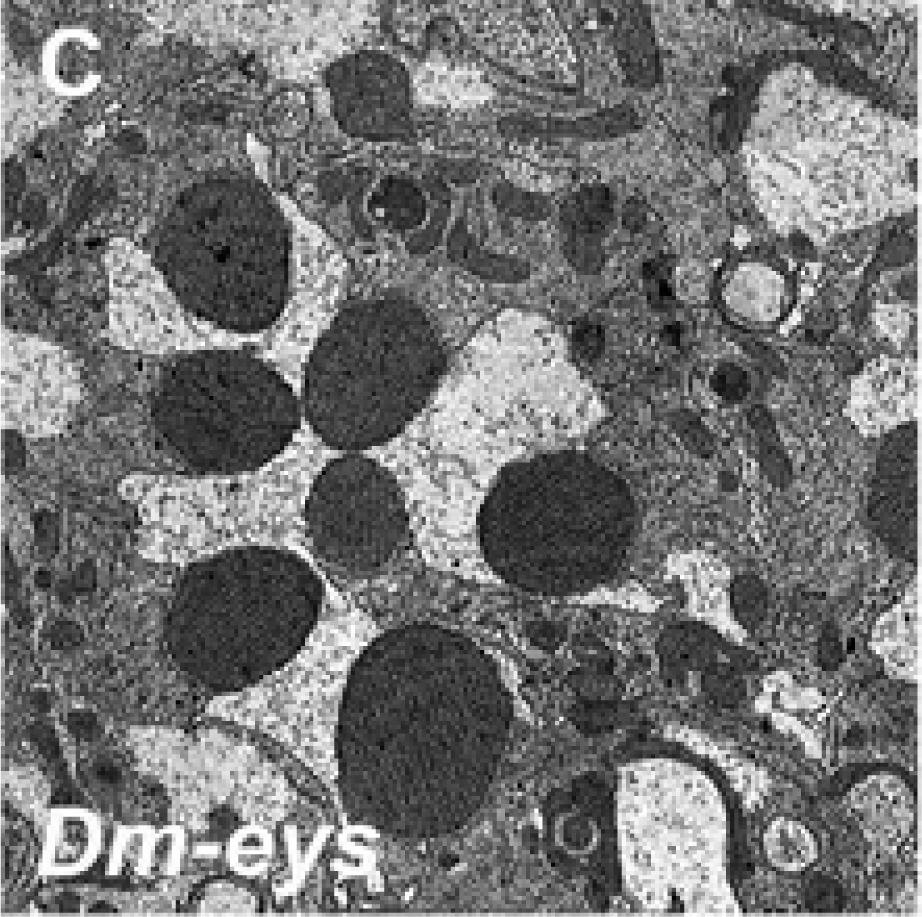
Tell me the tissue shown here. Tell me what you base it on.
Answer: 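Ommatidium. Each dark body sits at the edge of a surrounding cell with cytoplasm and mitochondria.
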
